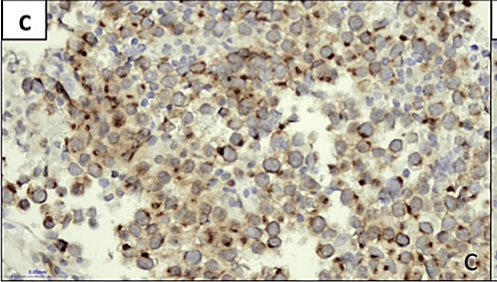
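These are tumor cells arranged in loose sheets, many outlined by a brown stain. The brown product sits at the rims of the cells, forming rings around round blue nuclei, with some dot-like brown accents in the cytoplasm. The cells are medium to large and round, with round nuclei and pale cytoplasm. Most cells in the field are stained, while a few smaller cells with dark blue nuclei remain unstained. Clear spaces separate some groups of cells, giving a somewhat discohesive appearance.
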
